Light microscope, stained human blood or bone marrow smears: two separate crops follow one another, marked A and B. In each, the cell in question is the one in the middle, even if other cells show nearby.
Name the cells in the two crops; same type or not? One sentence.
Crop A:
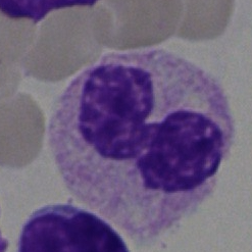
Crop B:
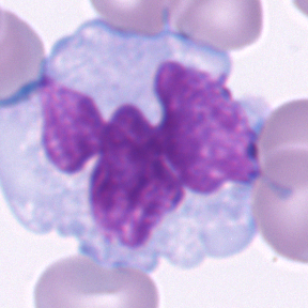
No, crop A is of a band neutrophil, and crop B is of a monocyte.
